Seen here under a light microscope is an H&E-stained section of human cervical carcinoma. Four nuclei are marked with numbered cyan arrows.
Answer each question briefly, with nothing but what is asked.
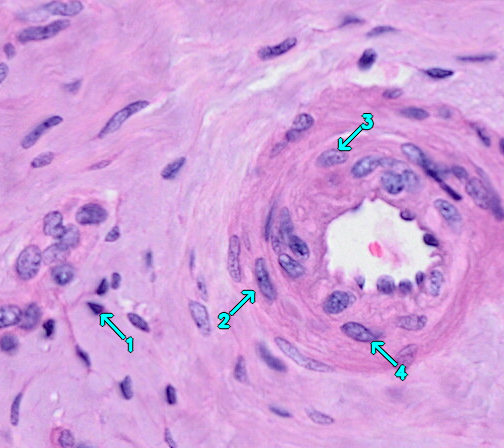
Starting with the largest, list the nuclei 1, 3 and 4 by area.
4, 3, 1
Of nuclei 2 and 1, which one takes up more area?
2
